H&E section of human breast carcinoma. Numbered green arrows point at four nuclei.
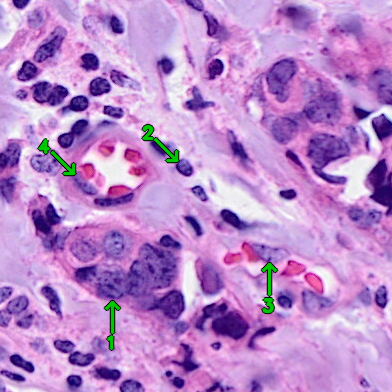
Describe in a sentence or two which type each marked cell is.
Cell 1 is a carcinoma cell, cell 2 is a lymphocyte, cell 3 is an endothelial cell and cell 4 is an endothelial cell.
